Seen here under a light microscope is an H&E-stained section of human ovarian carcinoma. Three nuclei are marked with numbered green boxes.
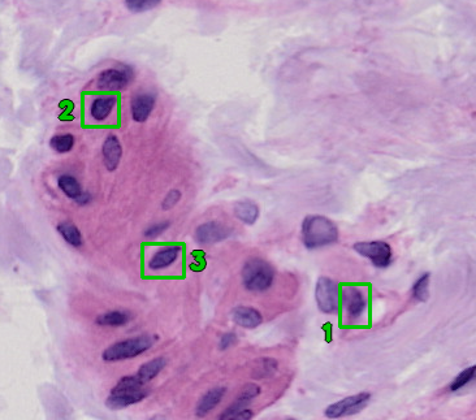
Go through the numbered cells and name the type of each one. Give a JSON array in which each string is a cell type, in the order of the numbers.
["endothelial cell", "smooth muscle cell", "smooth muscle cell"]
